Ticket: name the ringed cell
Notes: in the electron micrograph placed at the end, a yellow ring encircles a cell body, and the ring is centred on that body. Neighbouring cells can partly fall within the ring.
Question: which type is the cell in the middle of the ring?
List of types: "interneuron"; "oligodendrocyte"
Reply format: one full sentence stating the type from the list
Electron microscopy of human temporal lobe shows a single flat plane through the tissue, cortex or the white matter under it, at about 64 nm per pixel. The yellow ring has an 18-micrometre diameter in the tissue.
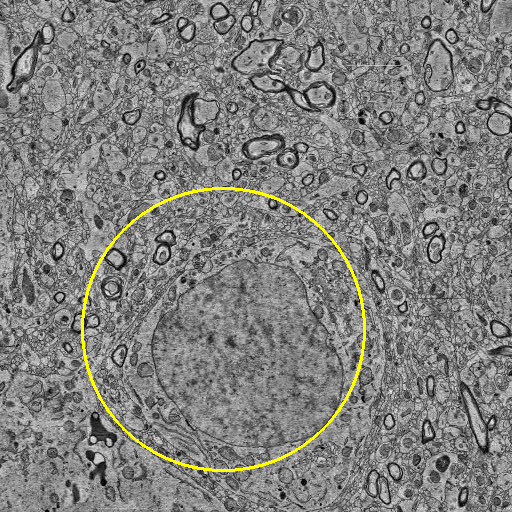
The cell sitting at the centre of the yellow ring is an interneuron.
